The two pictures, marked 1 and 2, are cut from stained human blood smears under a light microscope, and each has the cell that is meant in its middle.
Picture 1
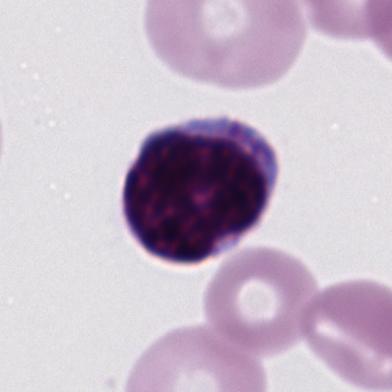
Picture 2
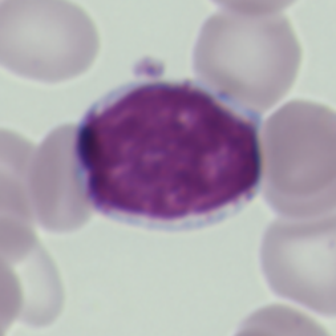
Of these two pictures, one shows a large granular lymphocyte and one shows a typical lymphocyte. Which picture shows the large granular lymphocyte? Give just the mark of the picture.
2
